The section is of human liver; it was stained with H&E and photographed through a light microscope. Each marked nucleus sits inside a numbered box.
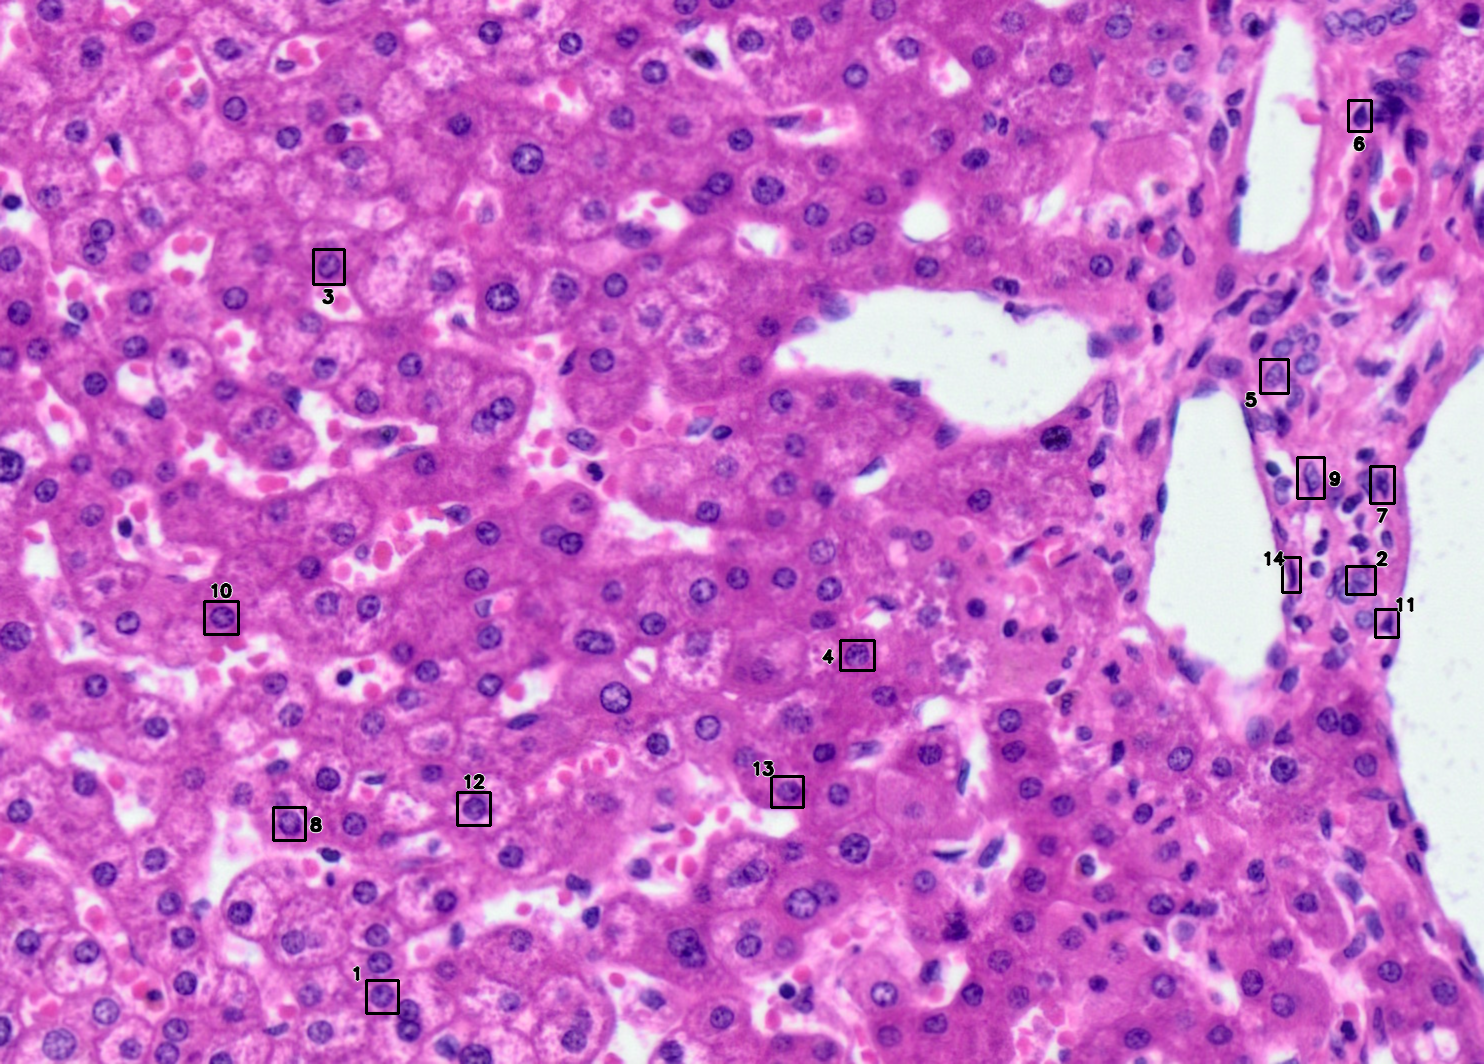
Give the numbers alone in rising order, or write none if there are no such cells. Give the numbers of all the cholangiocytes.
2, 5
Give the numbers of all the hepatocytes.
1, 3, 4, 8, 10, 12, 13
